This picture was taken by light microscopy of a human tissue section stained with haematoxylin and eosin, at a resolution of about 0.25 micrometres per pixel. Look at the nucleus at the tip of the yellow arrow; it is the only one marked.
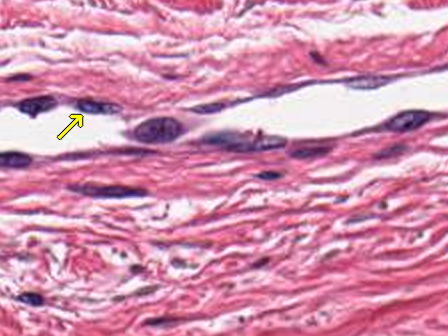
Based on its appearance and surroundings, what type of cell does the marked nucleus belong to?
endothelial cell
